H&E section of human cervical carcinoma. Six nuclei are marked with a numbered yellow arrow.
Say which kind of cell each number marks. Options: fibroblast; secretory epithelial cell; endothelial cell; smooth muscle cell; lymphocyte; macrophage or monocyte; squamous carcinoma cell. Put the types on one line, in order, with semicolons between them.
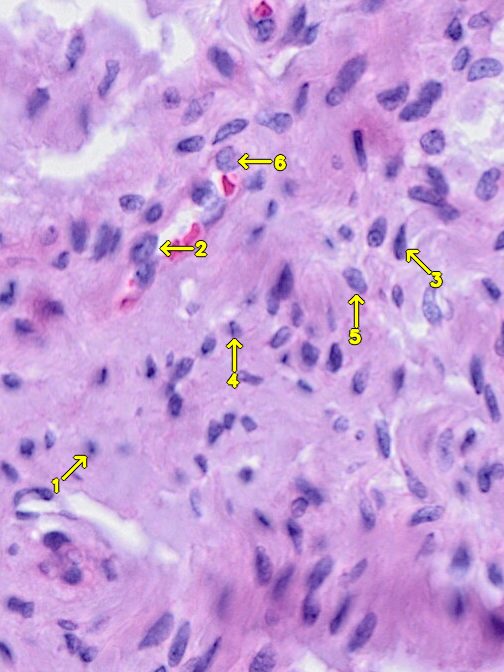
fibroblast; endothelial cell; fibroblast; fibroblast; fibroblast; endothelial cell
